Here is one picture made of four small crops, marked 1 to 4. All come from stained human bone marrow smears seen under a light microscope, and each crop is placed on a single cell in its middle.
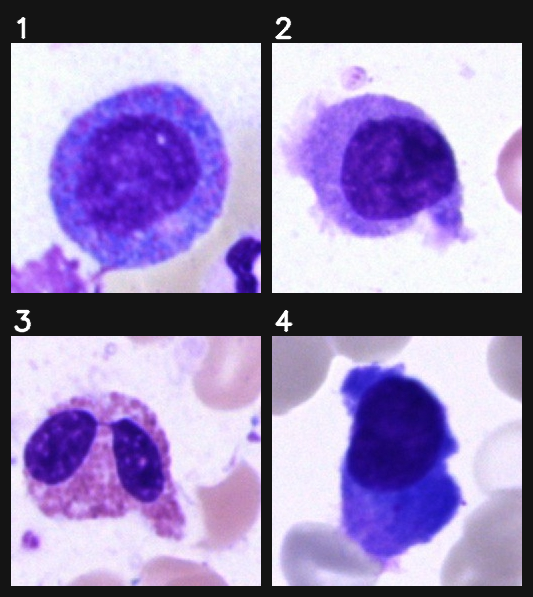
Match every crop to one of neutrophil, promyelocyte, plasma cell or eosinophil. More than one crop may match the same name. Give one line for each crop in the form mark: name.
1: promyelocyte
2: plasma cell
3: eosinophil
4: plasma cell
